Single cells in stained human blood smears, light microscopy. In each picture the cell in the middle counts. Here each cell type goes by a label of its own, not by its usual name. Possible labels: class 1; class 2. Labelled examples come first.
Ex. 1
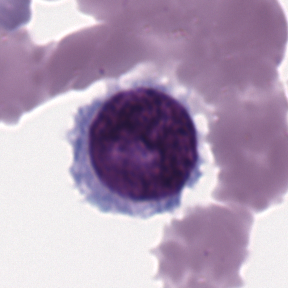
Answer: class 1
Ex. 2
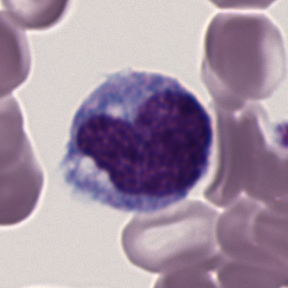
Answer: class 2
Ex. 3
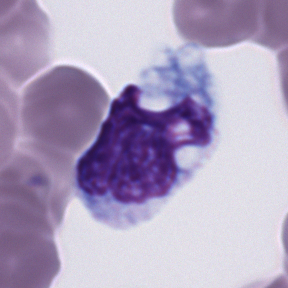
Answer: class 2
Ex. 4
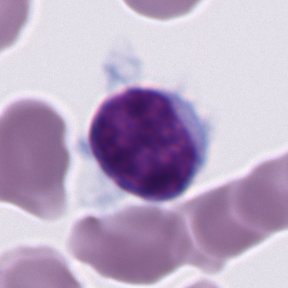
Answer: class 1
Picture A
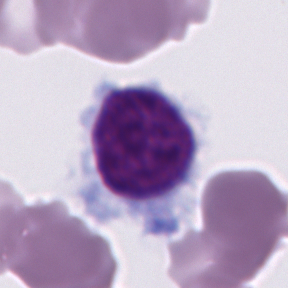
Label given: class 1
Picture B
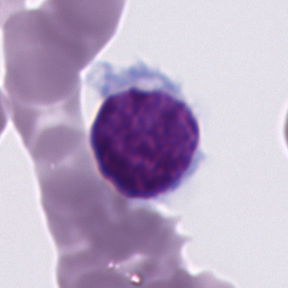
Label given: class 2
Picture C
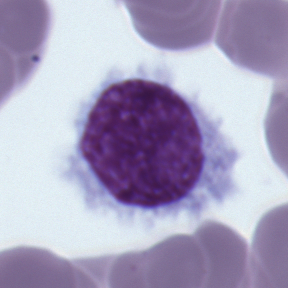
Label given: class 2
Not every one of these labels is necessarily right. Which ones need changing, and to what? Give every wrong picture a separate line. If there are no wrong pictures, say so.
Wrong: B (class 2); correct: class 1
Wrong: C (class 2); correct: class 1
